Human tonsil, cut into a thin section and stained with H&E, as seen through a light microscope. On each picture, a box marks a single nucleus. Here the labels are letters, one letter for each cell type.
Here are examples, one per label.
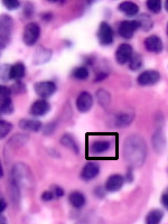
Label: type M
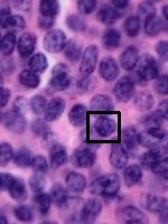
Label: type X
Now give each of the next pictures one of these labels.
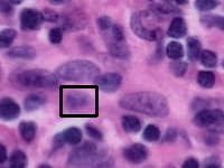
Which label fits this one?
type M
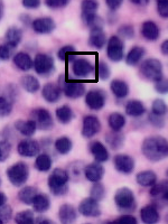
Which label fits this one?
type X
